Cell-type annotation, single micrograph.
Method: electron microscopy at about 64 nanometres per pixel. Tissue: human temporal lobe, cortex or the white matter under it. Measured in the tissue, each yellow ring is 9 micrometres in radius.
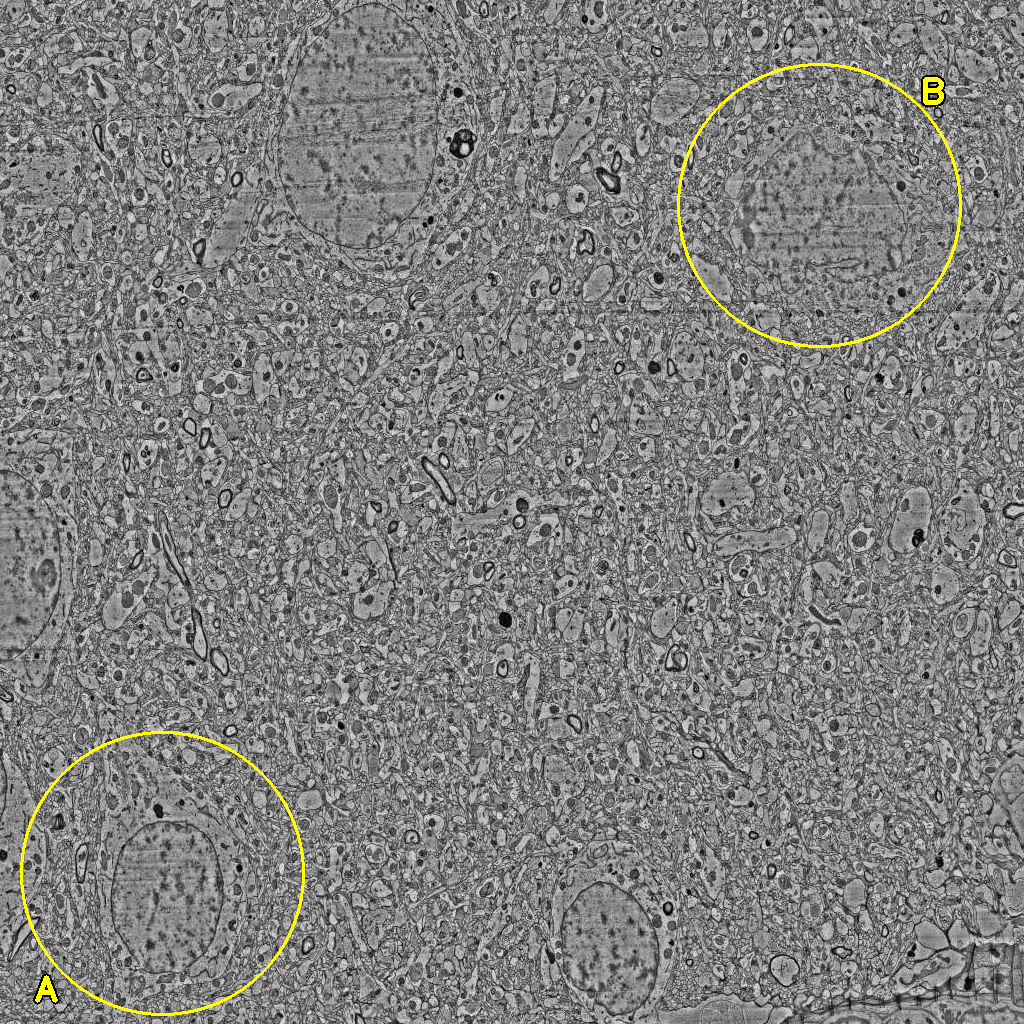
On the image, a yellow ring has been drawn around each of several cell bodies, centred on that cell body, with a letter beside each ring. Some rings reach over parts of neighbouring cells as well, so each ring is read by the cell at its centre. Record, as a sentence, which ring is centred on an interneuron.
Ring B is centred on it.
